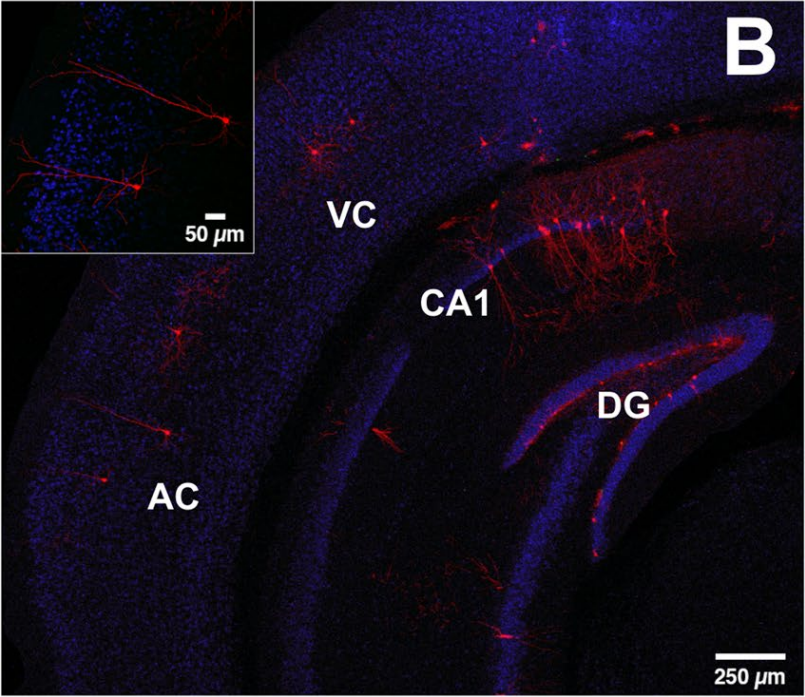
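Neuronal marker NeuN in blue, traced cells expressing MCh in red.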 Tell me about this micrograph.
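This is a coronal section through the posterior cortex and the underlying curved, densely packed blue cell bands. The inset shows two such cortical cells at higher magnification, with long, slender, sparsely branched processes extending across the field. In the curved bands beneath the cortex, a row of red cell bodies sits within one band and sends a dense brush of red processes into the adjacent layer.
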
